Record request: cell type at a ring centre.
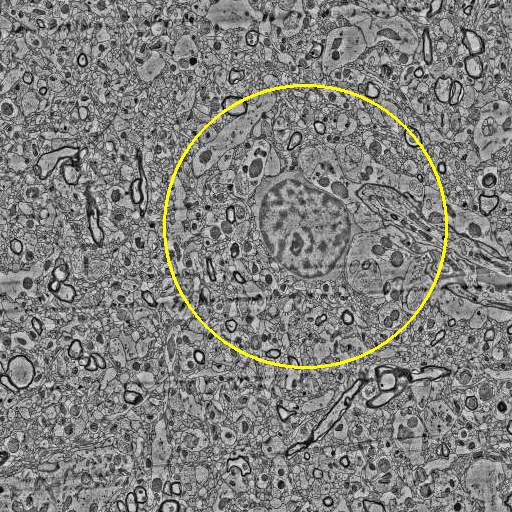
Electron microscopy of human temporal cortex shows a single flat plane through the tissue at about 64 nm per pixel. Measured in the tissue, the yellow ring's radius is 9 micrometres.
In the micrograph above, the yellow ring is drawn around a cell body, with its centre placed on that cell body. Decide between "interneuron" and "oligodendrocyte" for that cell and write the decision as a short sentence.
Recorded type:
The cell centred in the yellow ring is an oligodendrocyte.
